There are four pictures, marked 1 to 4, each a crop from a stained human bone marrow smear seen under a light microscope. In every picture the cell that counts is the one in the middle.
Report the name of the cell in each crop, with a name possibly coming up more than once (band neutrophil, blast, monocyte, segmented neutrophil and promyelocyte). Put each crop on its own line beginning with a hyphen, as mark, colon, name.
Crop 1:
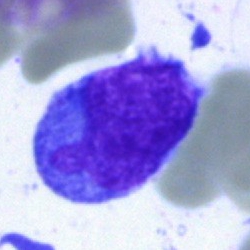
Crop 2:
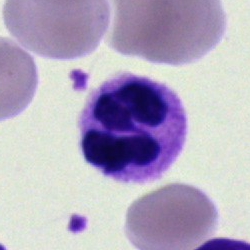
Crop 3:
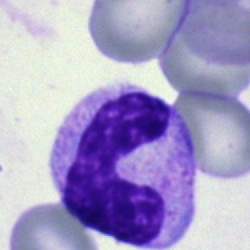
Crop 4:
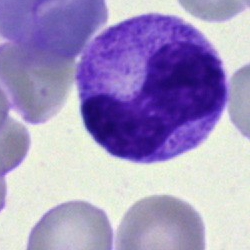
- 1: blast
- 2: segmented neutrophil
- 3: band neutrophil
- 4: band neutrophil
